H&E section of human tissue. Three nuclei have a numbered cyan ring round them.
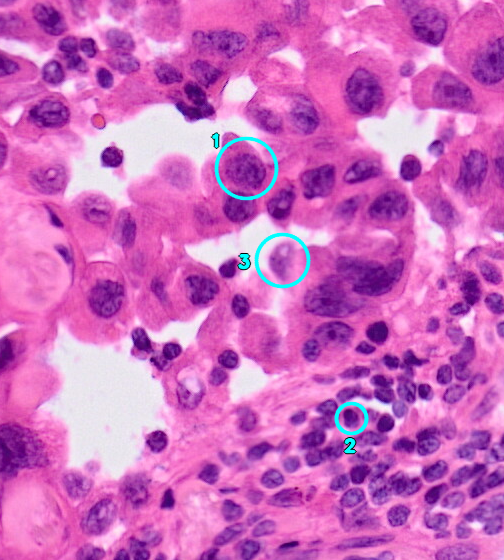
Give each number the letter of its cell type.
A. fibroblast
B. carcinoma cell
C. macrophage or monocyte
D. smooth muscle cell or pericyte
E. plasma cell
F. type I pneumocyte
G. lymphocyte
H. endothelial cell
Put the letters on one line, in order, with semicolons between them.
B; G; B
